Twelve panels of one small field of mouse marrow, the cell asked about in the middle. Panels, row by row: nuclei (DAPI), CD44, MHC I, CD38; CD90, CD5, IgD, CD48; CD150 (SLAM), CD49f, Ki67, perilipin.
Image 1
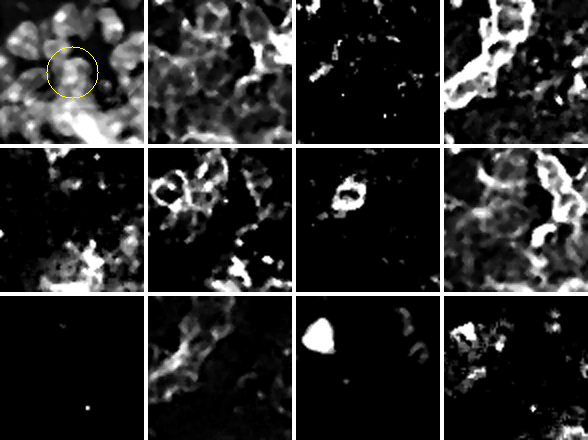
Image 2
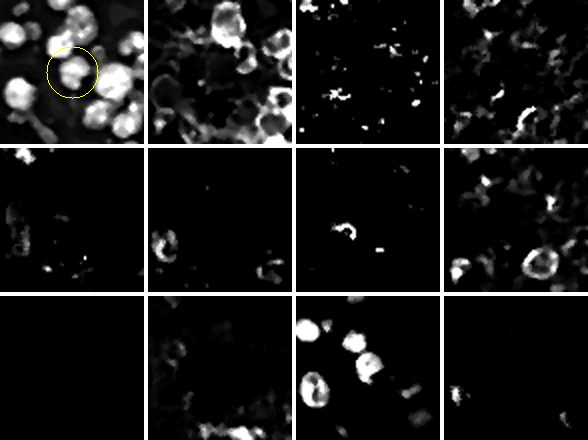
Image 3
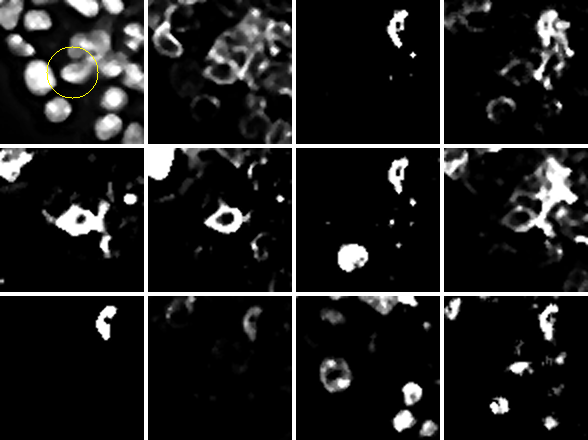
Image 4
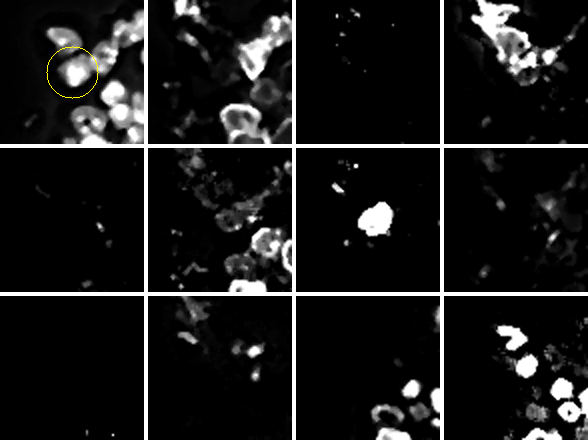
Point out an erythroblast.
That is picture 2.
